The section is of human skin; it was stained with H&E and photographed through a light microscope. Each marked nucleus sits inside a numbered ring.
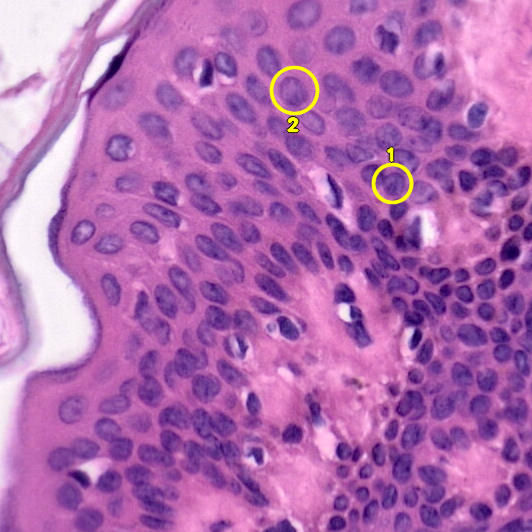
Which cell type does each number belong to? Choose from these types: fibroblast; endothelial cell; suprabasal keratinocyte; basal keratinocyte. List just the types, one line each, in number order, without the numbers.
basal keratinocyte
suprabasal keratinocyte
